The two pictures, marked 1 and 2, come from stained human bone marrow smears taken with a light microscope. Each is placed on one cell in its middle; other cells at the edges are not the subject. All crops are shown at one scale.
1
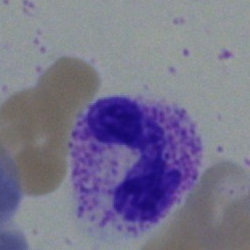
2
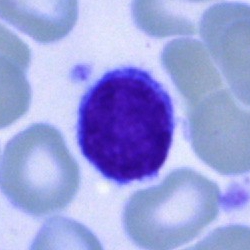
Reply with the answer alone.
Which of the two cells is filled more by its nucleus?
2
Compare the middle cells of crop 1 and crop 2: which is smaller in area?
2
